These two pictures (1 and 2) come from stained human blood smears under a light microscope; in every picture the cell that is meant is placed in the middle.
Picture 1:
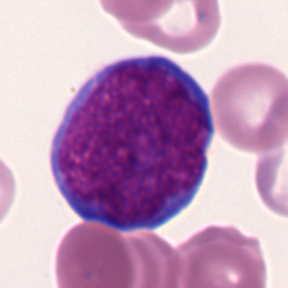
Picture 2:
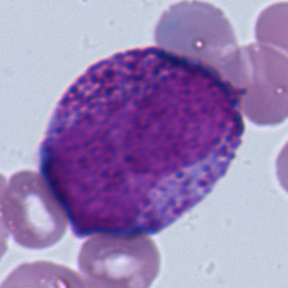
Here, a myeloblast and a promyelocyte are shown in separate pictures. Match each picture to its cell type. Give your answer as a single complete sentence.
The cell in picture 1 is a myeloblast, and the one in picture 2 is a promyelocyte.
